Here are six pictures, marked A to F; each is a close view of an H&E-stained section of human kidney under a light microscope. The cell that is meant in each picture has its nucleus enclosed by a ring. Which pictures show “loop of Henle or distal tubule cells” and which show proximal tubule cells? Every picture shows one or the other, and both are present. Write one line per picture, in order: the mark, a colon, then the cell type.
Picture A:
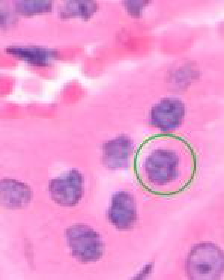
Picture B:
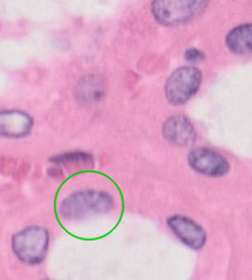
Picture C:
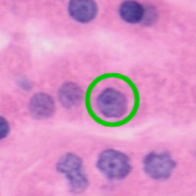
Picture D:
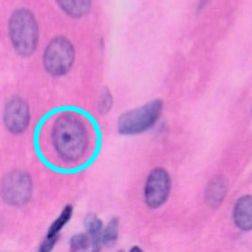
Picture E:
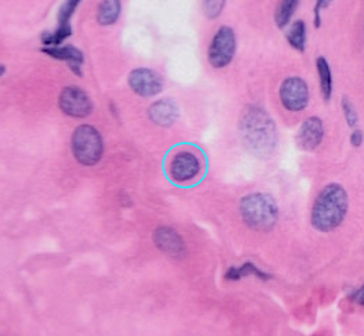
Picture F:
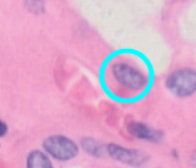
A: loop of Henle or distal tubule cell
B: loop of Henle or distal tubule cell
C: proximal tubule cell
D: proximal tubule cell
E: loop of Henle or distal tubule cell
F: loop of Henle or distal tubule cell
